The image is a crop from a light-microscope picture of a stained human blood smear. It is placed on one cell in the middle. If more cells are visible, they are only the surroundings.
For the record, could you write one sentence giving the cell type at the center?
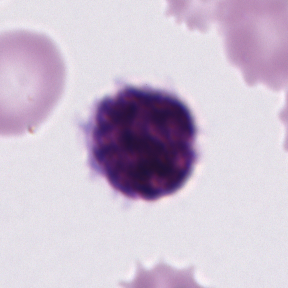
To answer, the cell in the center of the crop is a hairy cell.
